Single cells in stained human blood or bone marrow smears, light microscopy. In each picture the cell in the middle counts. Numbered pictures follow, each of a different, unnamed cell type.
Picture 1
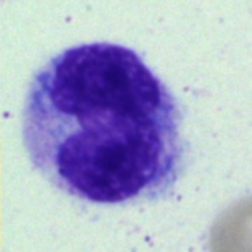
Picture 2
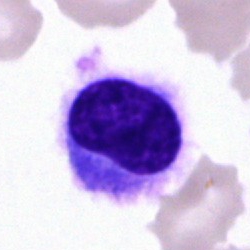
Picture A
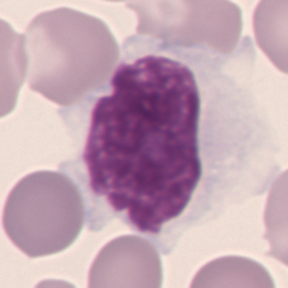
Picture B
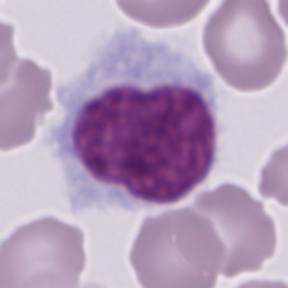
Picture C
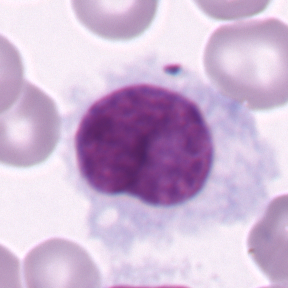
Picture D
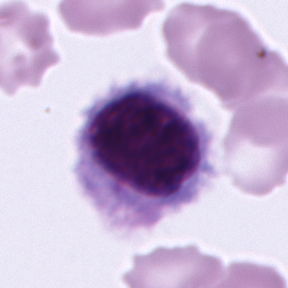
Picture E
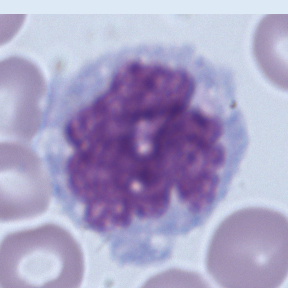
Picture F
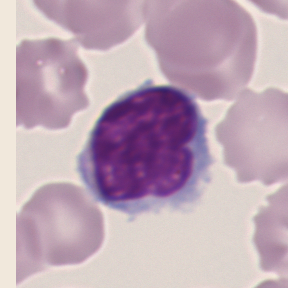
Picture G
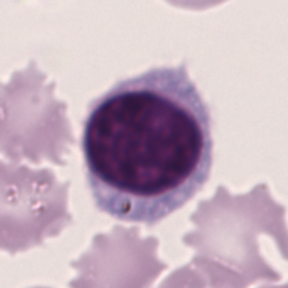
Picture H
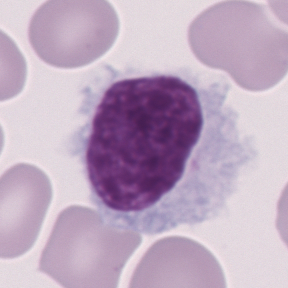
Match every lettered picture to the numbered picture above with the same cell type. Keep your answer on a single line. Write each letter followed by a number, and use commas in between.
A 2, B 2, C 2, D 2, E 1, F 2, G 2, H 2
